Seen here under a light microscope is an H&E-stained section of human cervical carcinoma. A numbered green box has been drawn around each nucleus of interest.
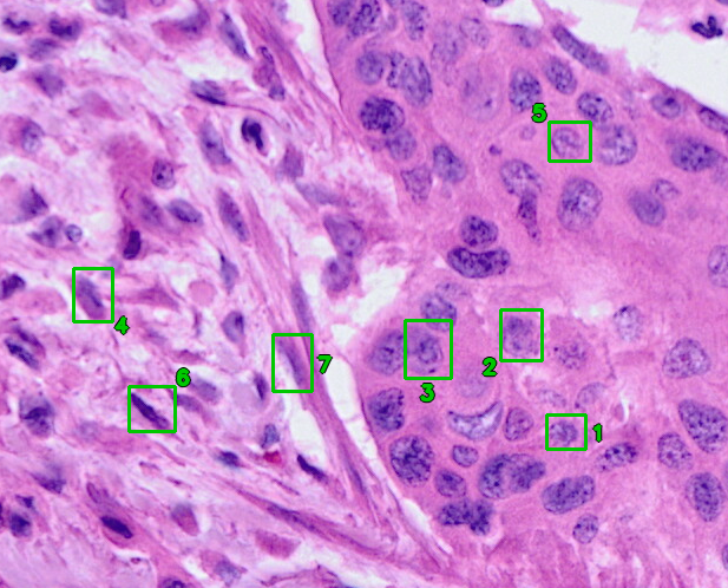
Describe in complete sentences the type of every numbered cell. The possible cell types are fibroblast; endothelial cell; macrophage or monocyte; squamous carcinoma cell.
Cells 1, 2, 3 and 5 are squamous carcinoma cells. Cells 4, 6 and 7 are fibroblasts.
